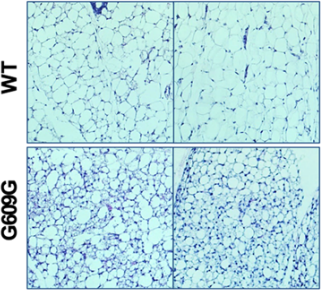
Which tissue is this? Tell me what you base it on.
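A meshwork of closely packed, clear, rounded-polygonal spaces. Only thin stained rims separate the spaces. So: adipose tissue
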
